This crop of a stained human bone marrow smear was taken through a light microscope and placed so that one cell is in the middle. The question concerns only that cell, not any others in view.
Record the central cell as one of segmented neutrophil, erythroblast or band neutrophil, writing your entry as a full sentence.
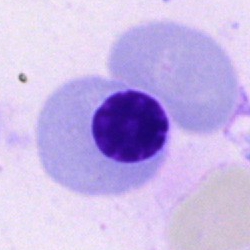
The cell around which this crop is centred is an erythroblast.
